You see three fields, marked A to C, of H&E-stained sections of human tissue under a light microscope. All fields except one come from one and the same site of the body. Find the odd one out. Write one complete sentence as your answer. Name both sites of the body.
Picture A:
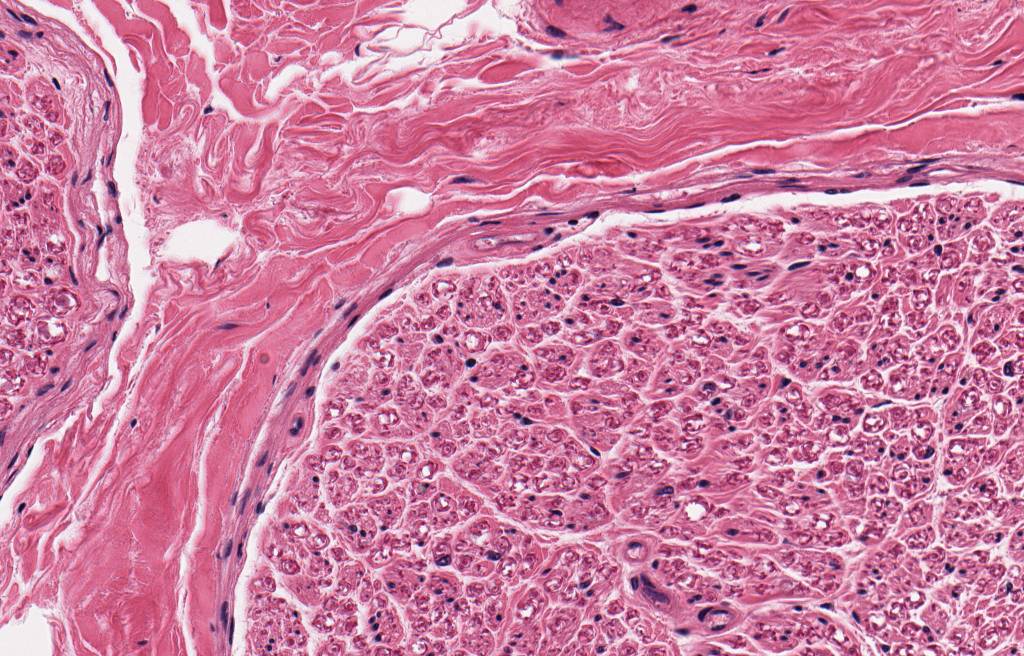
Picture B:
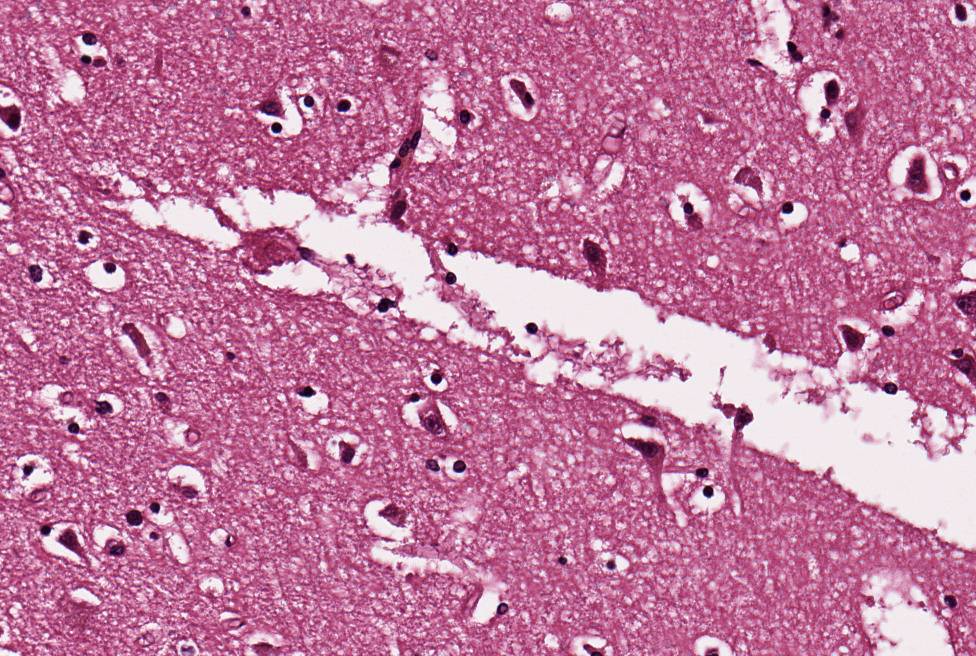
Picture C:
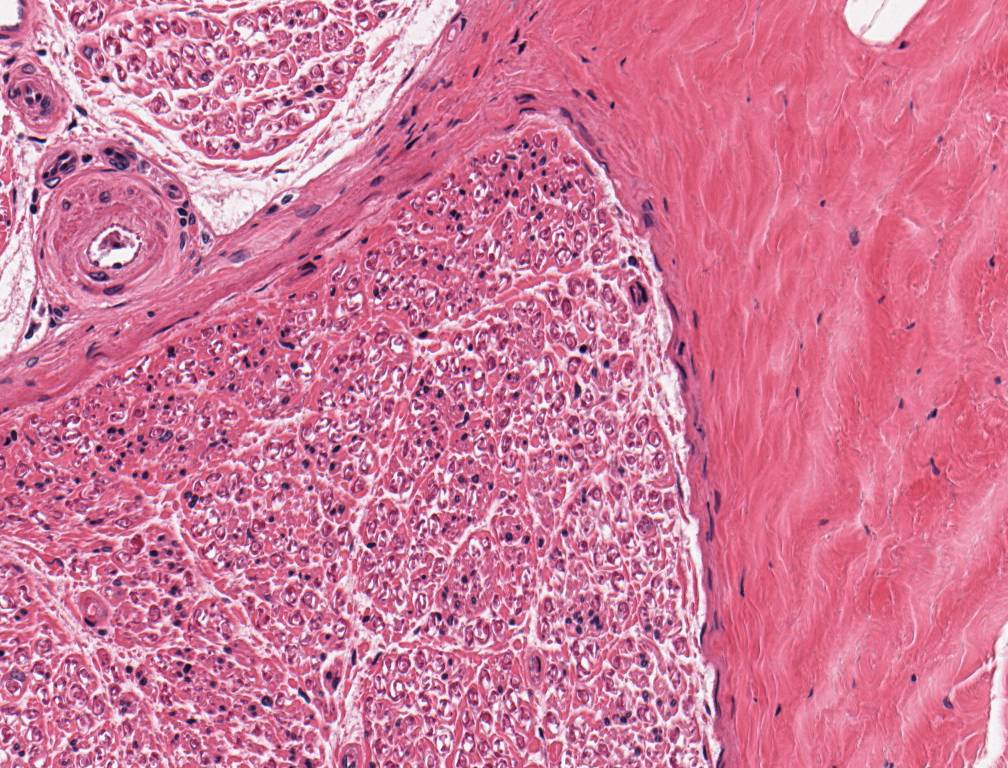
Picture B is the odd one out: it comes from the cerebral cortex, while the others come from the tibial nerve.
